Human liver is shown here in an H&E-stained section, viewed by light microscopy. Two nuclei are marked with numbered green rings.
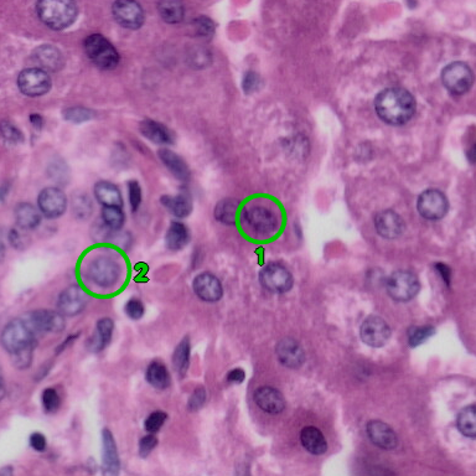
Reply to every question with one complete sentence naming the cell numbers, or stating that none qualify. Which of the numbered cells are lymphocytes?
The numbered cells and the lymphocytes have no member in common.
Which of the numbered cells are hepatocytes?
It is cell 1, and no other numbered cell, that is a hepatocyte.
